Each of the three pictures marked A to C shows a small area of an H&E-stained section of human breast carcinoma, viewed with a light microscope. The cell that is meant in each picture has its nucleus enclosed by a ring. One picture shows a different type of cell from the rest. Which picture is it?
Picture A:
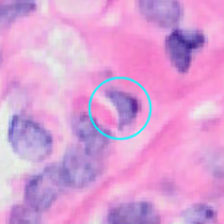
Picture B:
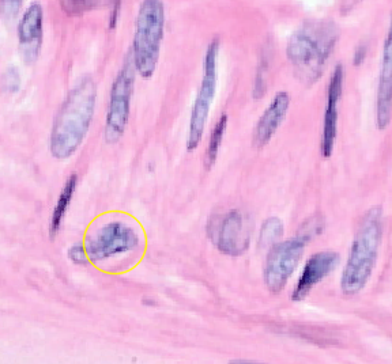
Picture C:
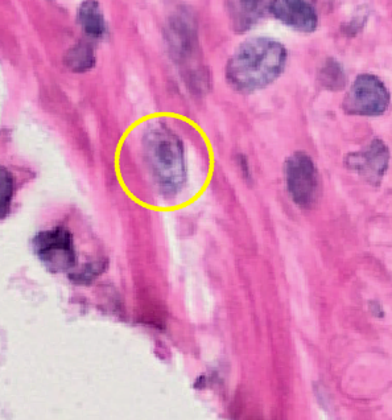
C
